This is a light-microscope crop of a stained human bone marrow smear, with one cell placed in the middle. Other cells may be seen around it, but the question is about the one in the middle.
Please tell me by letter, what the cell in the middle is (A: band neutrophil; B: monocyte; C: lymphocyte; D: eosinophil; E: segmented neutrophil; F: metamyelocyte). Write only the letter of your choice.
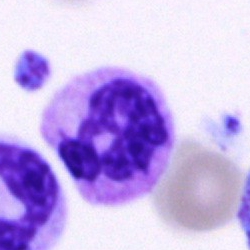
E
